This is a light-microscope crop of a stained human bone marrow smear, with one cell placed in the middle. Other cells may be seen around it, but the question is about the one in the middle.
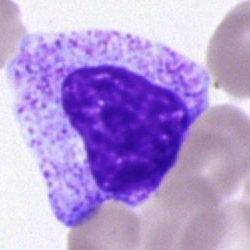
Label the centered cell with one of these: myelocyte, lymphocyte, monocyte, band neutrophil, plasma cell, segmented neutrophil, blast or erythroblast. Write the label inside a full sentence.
In the center of this field lies a myelocyte.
